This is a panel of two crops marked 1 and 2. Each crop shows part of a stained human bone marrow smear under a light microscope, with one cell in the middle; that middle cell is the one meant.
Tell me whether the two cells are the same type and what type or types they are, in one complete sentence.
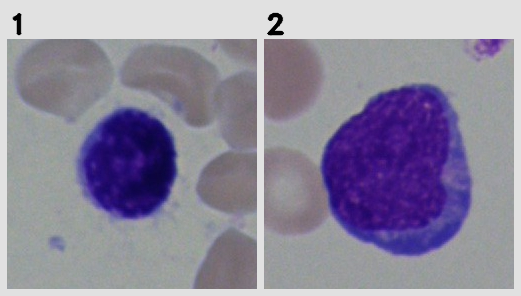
No, as for crop 1, it shows a lymphocyte, and crop 2 shows a blast.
